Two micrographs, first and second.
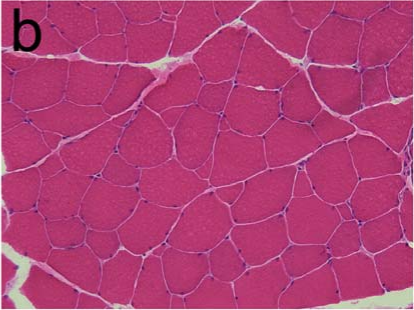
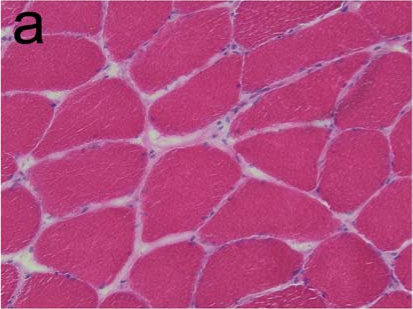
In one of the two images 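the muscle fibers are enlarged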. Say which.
the second image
